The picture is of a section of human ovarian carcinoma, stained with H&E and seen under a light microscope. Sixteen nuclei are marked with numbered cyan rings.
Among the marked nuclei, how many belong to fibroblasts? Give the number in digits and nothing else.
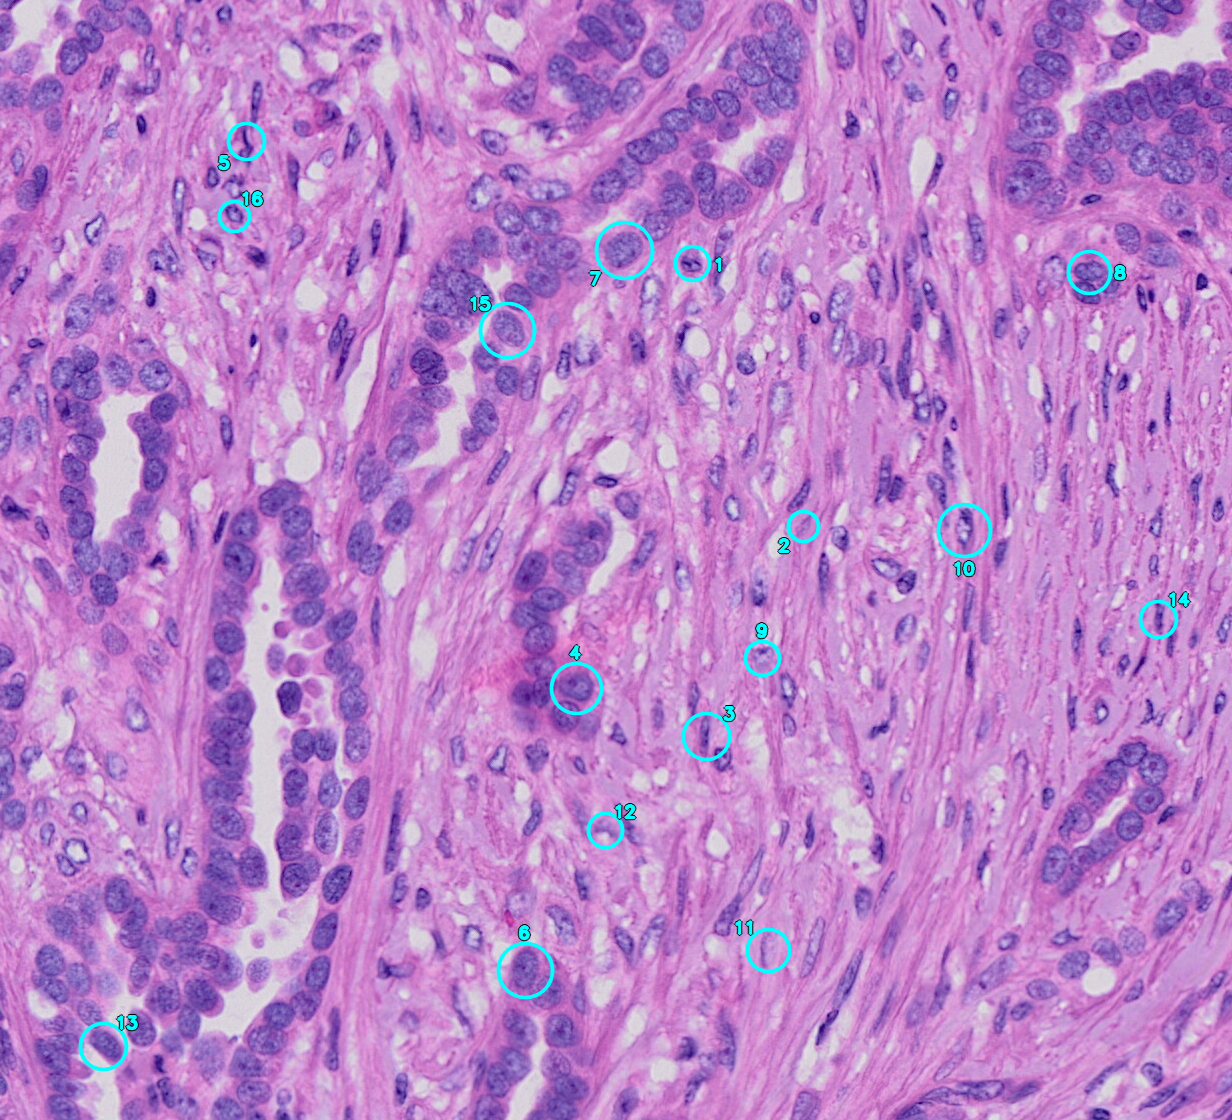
9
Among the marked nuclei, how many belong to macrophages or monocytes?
1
